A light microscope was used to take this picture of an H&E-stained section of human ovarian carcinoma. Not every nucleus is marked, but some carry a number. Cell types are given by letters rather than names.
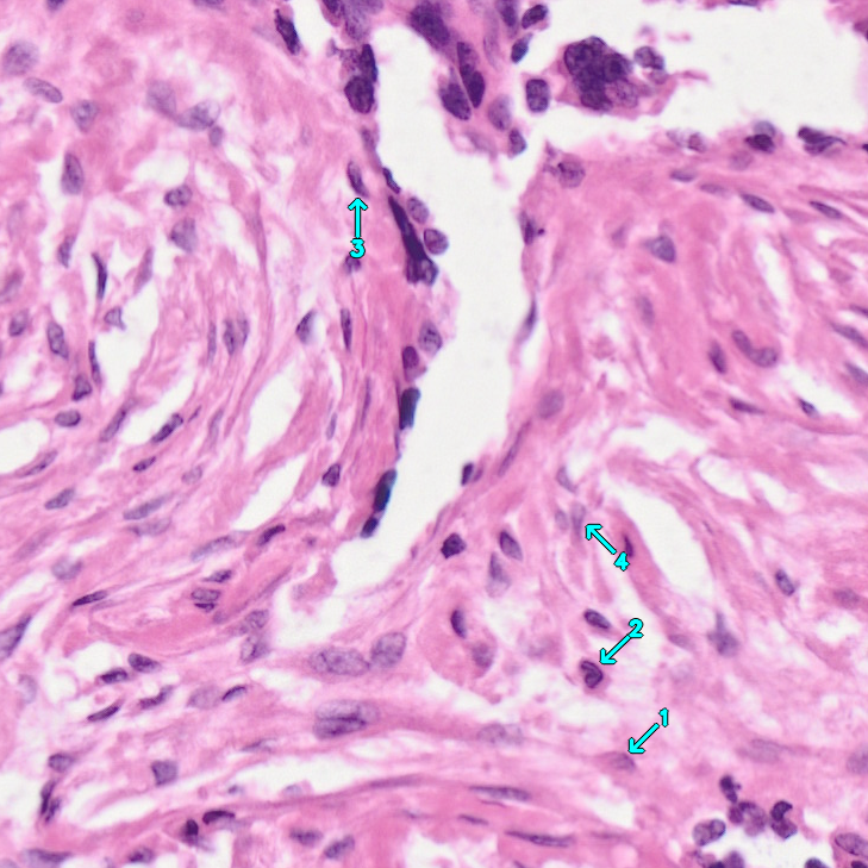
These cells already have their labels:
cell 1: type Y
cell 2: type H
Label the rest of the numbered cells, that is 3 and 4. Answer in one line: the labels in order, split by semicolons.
type Y; type Y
